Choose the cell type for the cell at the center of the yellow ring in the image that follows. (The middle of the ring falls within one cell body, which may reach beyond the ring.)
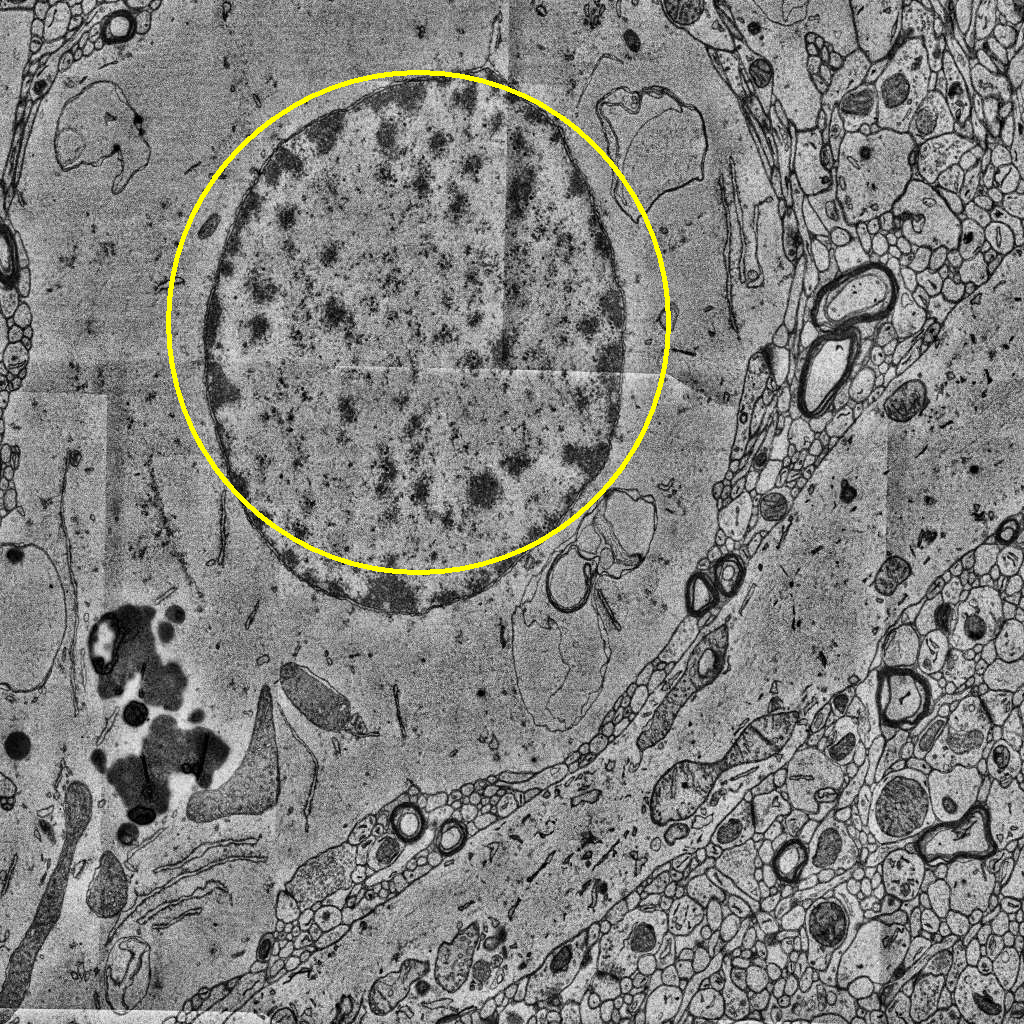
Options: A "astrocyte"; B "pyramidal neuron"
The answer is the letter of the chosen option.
A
